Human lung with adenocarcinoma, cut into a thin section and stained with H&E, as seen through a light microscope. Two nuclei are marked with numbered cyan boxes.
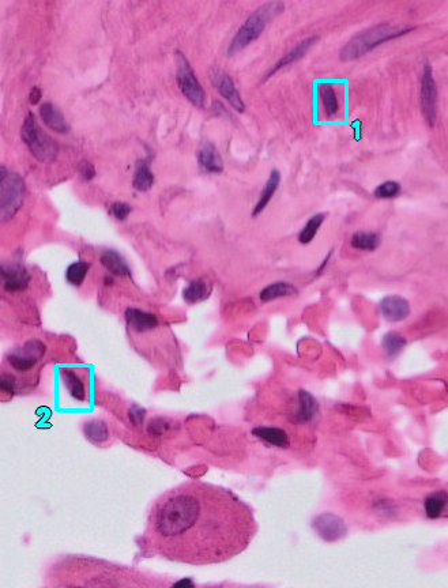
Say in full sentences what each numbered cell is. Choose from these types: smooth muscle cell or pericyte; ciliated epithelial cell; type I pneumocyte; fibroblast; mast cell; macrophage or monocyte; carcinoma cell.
Cell 1 is a smooth muscle cell or pericyte. Cell 2 is a type I pneumocyte.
